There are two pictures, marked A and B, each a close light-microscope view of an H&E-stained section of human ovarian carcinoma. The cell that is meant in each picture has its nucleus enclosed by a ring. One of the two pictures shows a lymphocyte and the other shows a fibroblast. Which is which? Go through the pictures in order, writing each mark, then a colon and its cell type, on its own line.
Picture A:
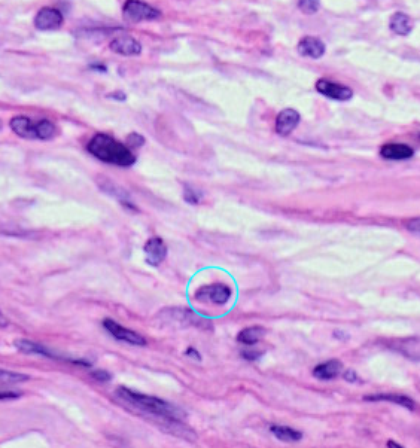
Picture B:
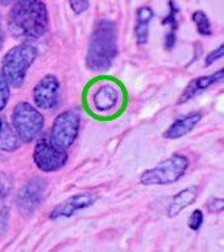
A: lymphocyte
B: fibroblast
